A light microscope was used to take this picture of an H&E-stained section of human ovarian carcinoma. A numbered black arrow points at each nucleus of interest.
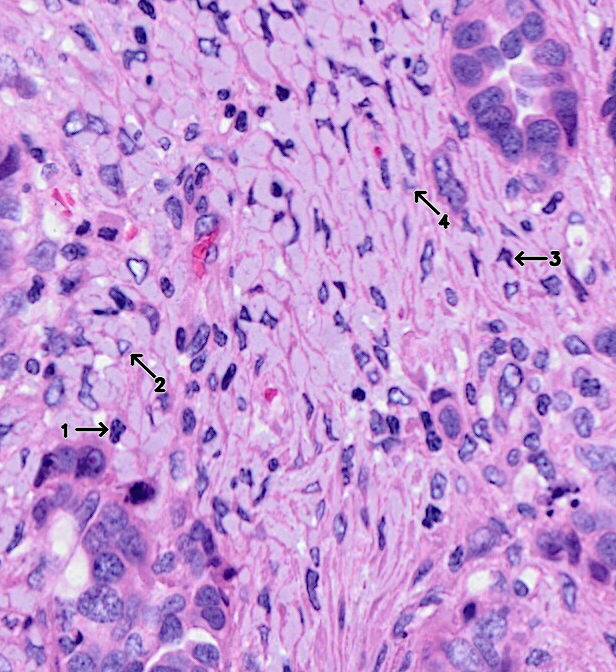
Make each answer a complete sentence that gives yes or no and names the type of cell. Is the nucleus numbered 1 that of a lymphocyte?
Yes, the cell labelled with number 1 is a lymphocyte.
